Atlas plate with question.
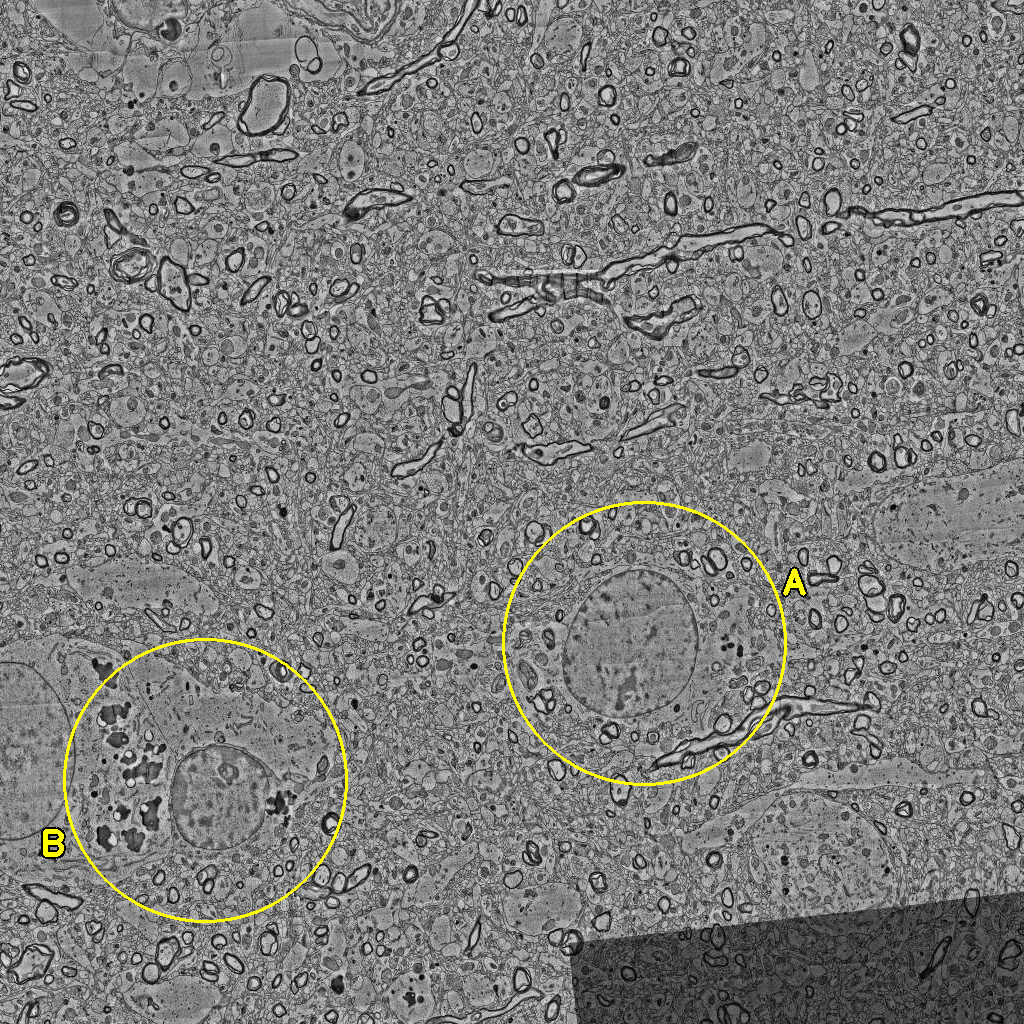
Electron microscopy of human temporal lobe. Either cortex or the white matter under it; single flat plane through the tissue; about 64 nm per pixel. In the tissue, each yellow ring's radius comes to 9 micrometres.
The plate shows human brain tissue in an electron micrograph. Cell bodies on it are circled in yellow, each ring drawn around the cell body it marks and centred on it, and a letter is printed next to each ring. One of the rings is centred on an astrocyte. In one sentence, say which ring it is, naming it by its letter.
It is ring A.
